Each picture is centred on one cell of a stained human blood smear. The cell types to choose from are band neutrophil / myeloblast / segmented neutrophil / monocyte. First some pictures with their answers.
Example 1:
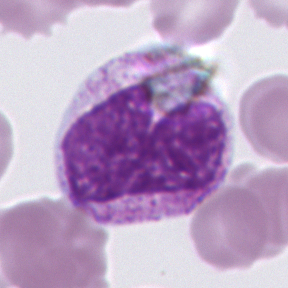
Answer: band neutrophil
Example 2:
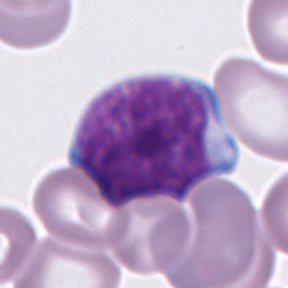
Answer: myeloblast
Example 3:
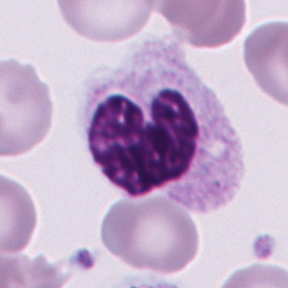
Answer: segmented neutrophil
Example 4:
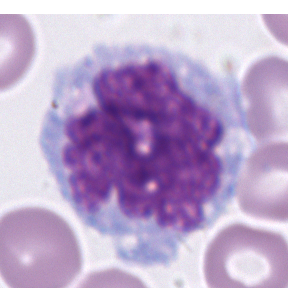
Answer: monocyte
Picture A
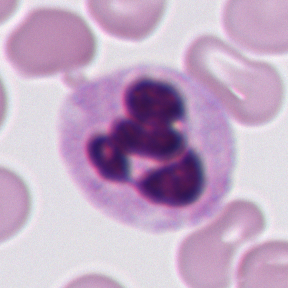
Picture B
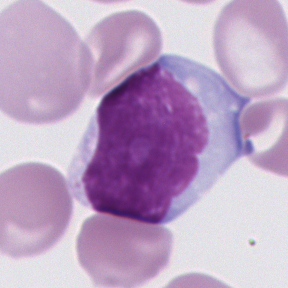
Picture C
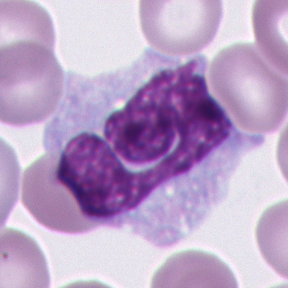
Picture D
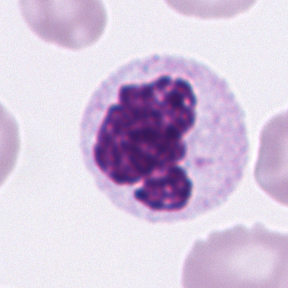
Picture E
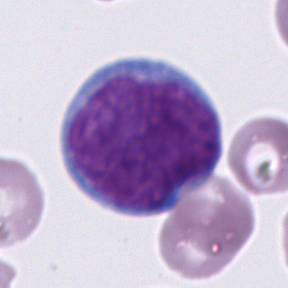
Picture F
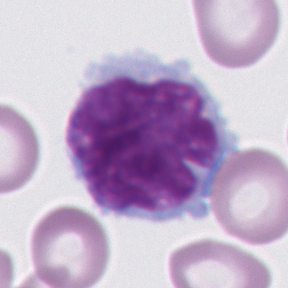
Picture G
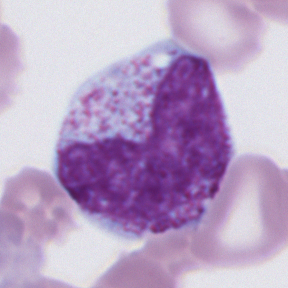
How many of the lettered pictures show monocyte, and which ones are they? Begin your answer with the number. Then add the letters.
1, namely C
